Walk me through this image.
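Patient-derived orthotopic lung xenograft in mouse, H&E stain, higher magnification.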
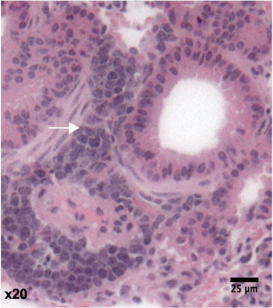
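The arrow points to a cluster where the nuclei lie especially dense and dark, showing the tumor's crowded cellularity. Thin strands of pink tissue separate the cell groups.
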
